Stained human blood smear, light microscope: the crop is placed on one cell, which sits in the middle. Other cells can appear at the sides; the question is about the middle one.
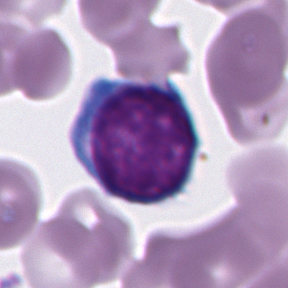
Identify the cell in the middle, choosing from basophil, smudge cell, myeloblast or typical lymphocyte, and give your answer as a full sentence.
In the center of this field lies a typical lymphocyte.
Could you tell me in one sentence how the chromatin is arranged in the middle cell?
The chromatin in this nucleus is coarsely clumped.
